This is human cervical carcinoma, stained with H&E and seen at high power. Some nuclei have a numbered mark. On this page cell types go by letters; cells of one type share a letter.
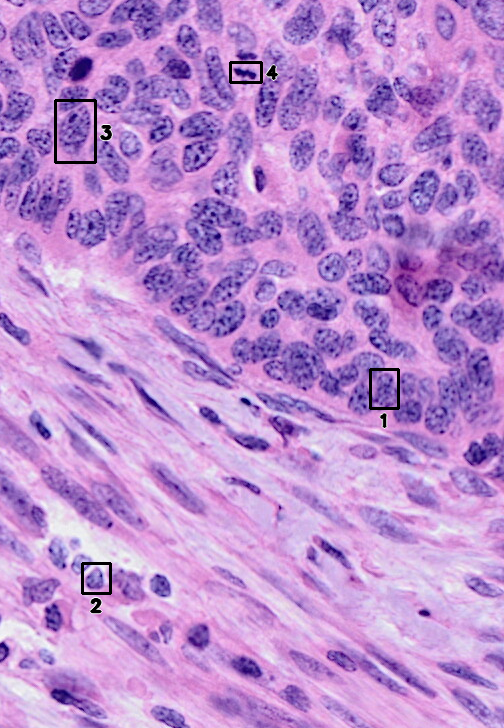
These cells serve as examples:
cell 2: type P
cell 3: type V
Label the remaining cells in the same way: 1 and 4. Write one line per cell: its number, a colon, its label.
1: type V
4: type V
